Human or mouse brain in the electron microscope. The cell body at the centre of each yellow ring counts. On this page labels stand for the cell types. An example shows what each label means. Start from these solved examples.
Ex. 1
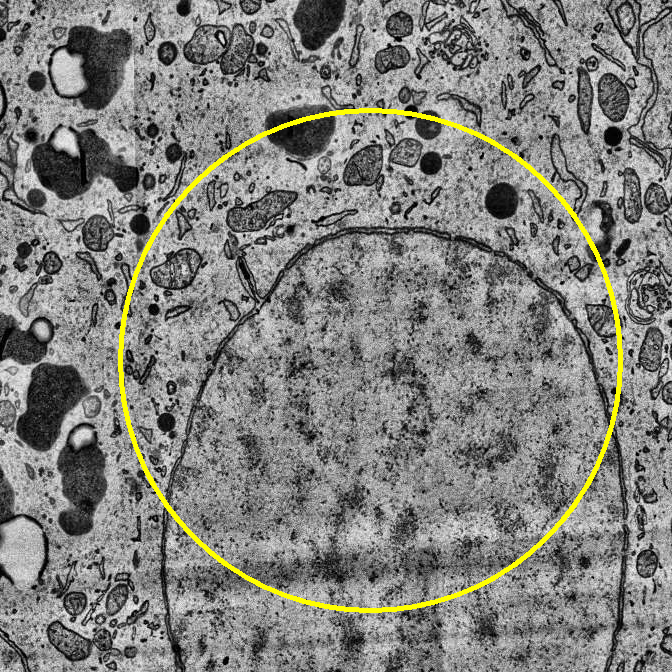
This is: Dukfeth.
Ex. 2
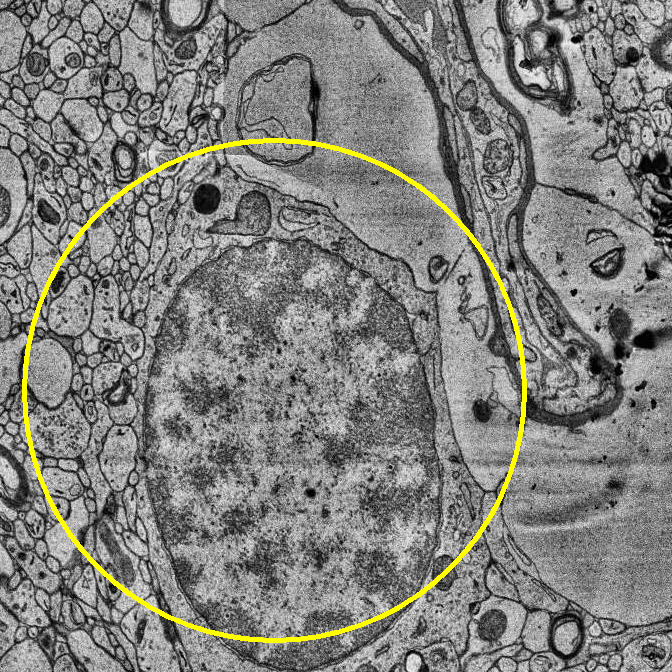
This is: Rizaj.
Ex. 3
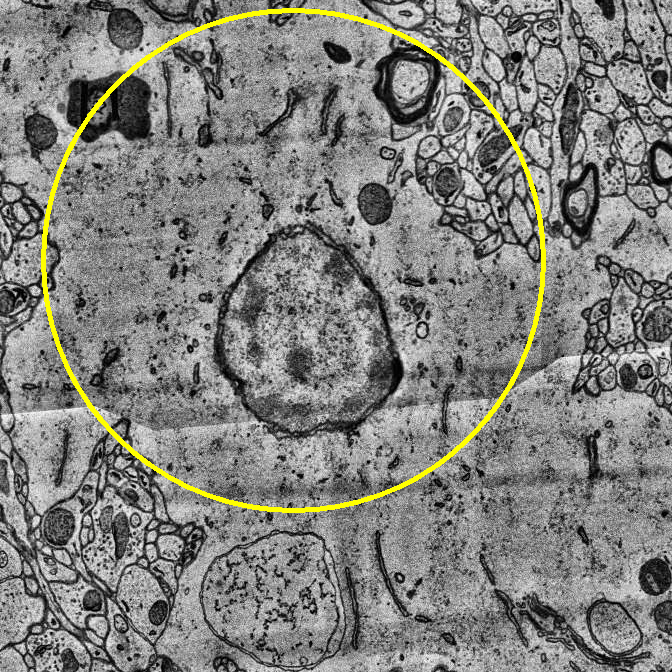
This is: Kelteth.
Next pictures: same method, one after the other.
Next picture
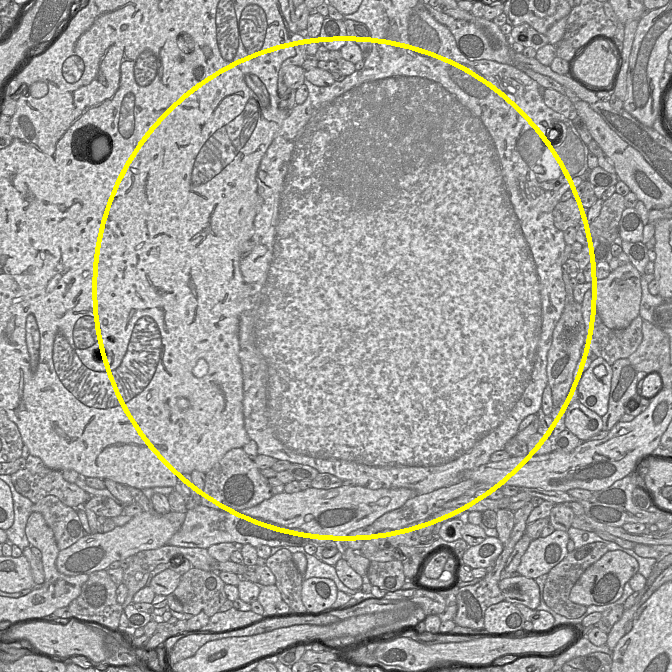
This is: Kelteth.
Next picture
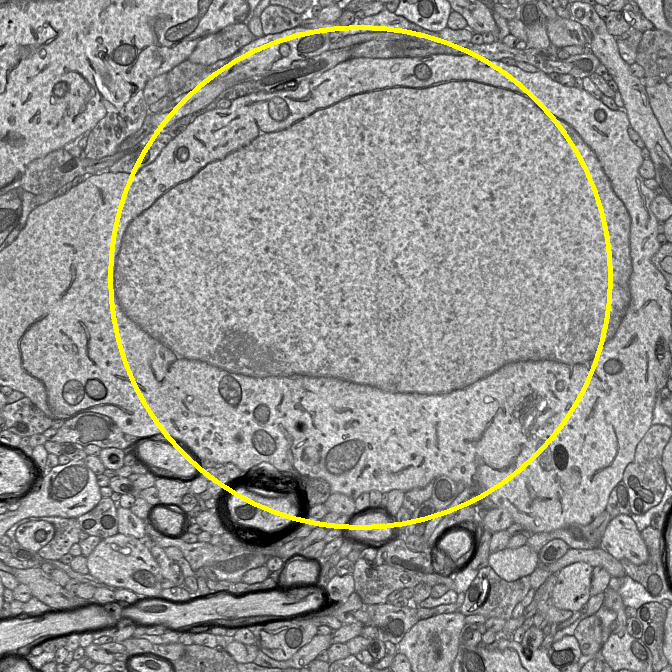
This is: Dukfeth.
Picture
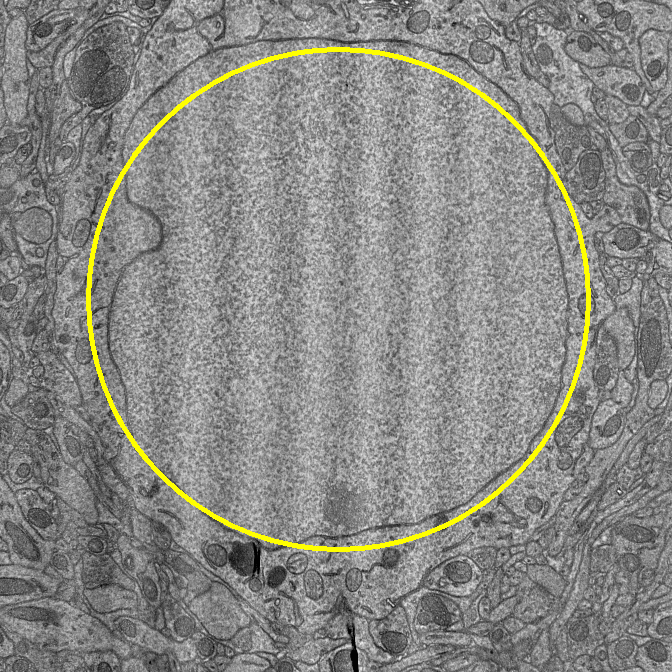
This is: Dukfeth.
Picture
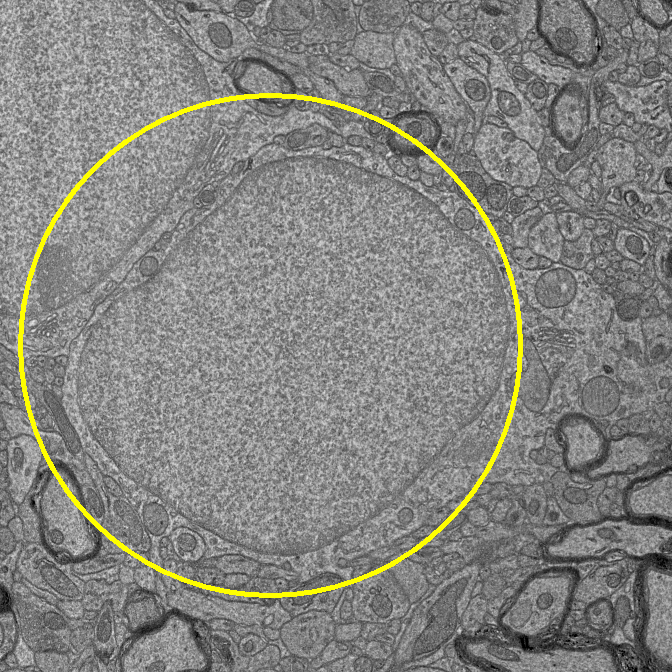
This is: Kelteth.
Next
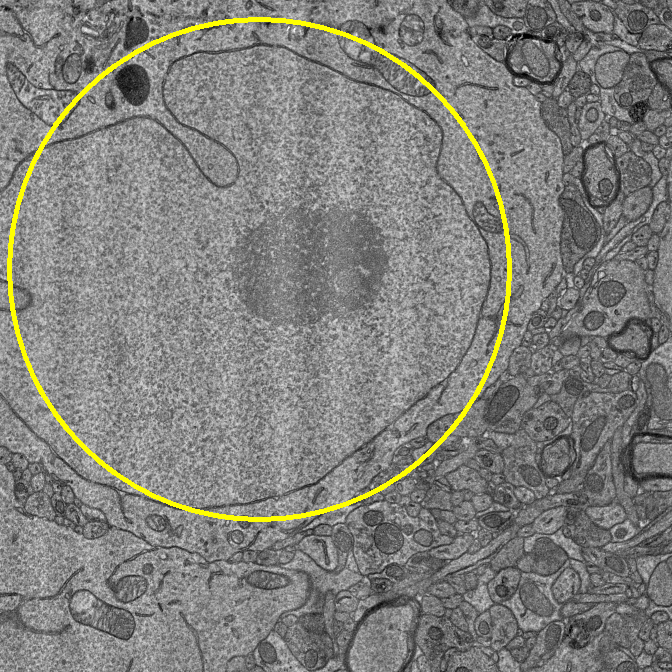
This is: Dukfeth.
